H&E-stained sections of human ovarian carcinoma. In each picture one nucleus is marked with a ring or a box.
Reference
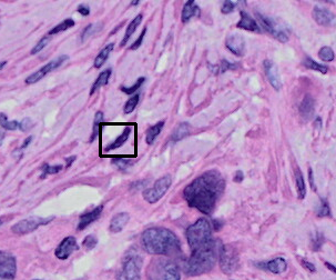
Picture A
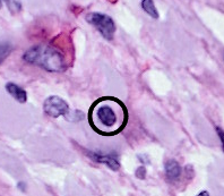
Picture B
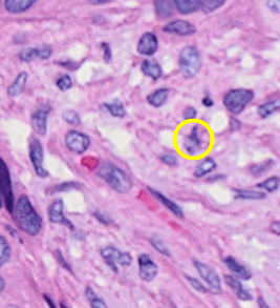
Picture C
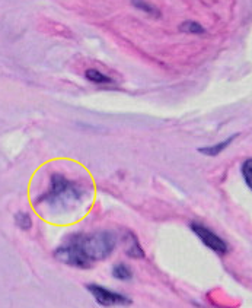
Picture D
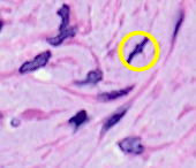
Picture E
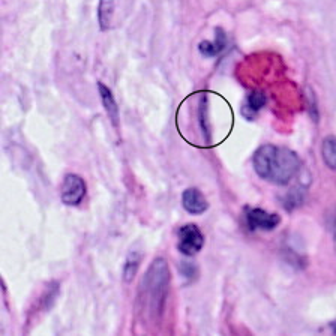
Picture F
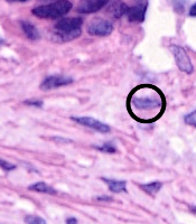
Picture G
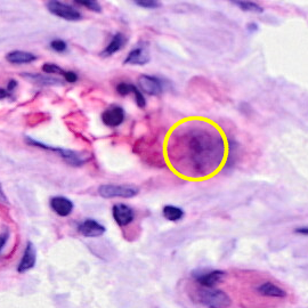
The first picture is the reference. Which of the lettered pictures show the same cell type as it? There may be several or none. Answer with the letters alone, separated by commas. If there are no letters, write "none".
B, D, F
